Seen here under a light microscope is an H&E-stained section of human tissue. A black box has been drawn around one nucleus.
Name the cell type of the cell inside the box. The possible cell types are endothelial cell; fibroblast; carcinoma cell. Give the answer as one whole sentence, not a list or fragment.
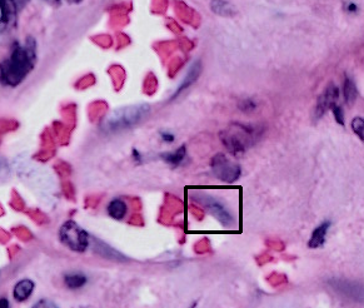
It is an endothelial cell that the cell inside the box represents.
